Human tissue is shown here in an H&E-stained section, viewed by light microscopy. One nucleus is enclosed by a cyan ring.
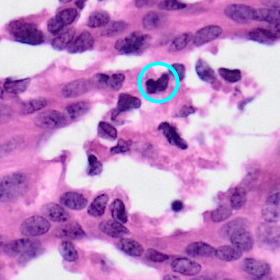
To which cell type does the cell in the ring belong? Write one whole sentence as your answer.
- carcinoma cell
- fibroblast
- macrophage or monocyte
In short, the cell in the ring on this section is a macrophage or monocyte.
